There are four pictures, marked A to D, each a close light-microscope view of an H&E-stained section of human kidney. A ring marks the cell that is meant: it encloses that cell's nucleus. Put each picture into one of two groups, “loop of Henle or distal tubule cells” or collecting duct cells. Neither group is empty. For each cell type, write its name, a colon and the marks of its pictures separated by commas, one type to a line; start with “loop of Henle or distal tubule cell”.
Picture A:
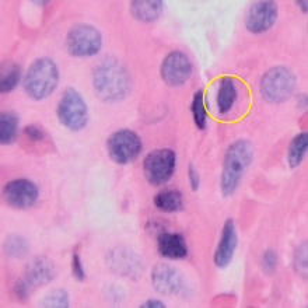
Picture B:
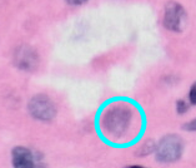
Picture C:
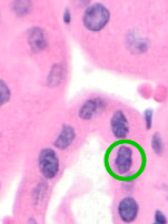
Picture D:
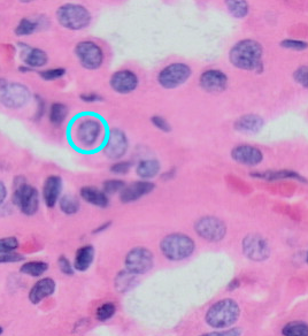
loop of Henle or distal tubule cell: A, B
collecting duct cell: C, D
